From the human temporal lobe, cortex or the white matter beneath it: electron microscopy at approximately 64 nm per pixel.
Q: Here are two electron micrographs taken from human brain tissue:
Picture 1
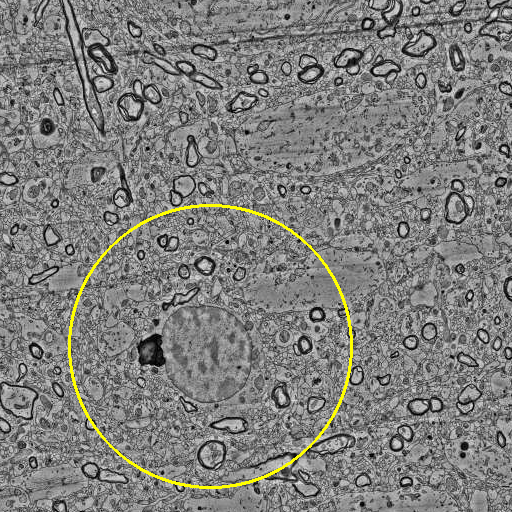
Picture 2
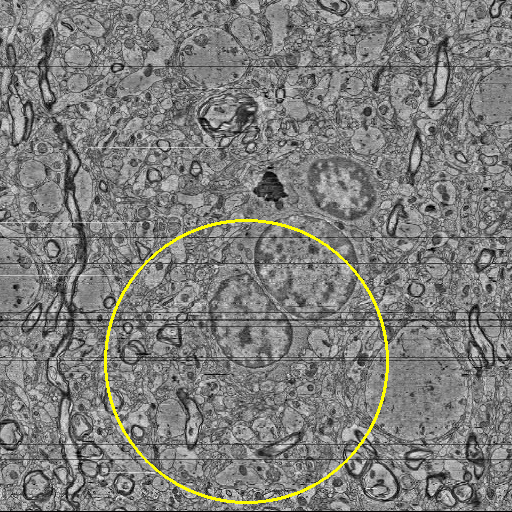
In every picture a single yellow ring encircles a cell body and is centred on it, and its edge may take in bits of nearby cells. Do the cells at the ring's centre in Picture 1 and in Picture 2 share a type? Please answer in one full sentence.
Yes, the cells at the ring's centre in Picture 1 and Picture 2 share a type.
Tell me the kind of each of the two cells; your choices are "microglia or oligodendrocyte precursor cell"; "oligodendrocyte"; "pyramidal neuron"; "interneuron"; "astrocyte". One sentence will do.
The ring centre holds an oligodendrocyte in each of the two pictures.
